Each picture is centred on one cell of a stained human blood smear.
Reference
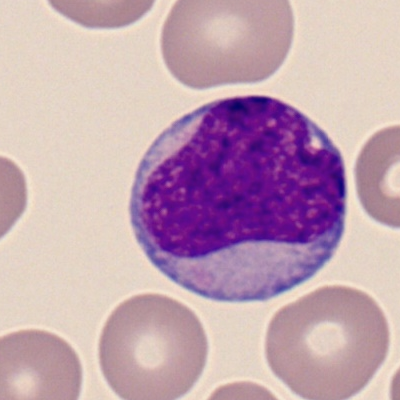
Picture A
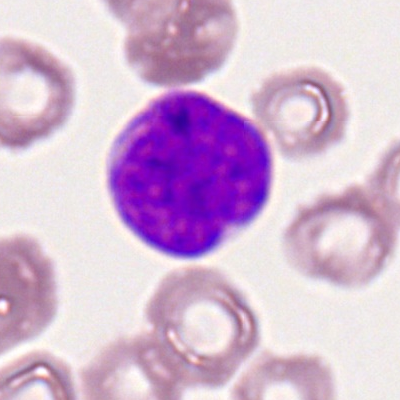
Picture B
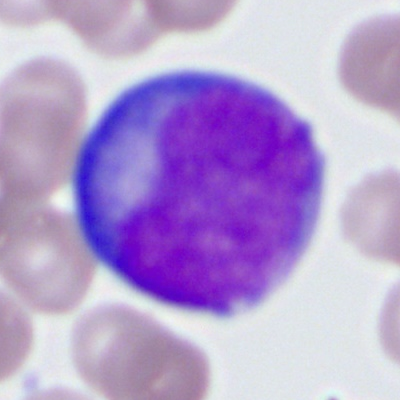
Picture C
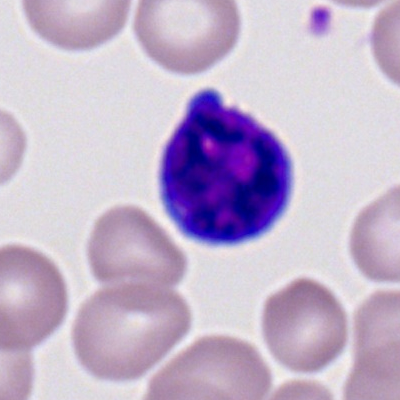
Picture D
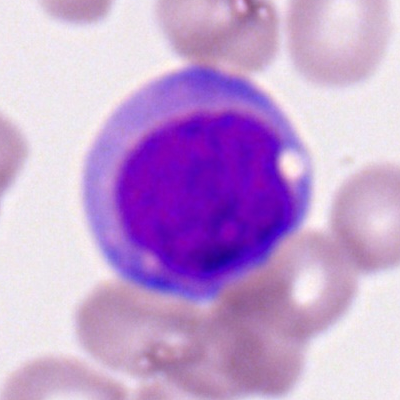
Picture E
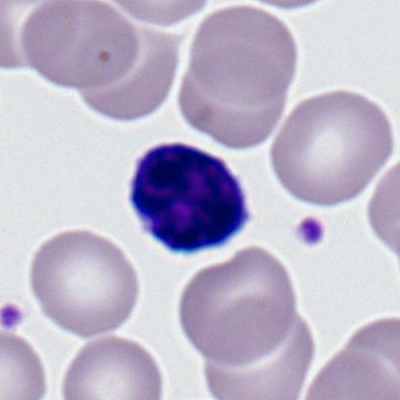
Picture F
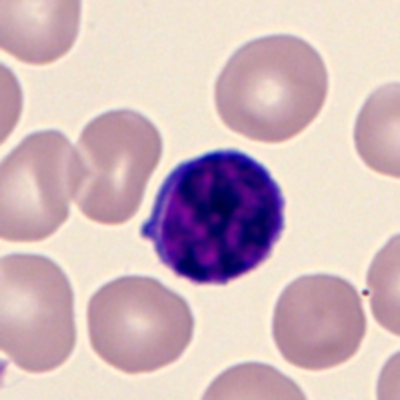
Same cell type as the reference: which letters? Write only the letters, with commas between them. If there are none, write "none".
A, B, D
